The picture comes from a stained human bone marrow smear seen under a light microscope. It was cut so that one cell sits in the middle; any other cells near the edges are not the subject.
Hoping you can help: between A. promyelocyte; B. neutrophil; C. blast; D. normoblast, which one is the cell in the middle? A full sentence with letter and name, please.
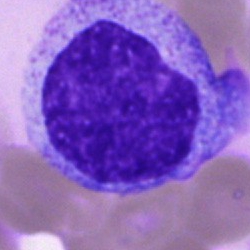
Option A correctly names the cell in the middle as a promyelocyte.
